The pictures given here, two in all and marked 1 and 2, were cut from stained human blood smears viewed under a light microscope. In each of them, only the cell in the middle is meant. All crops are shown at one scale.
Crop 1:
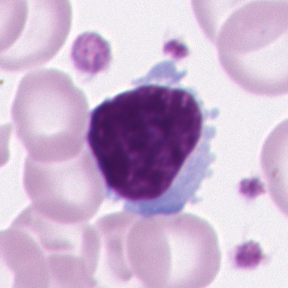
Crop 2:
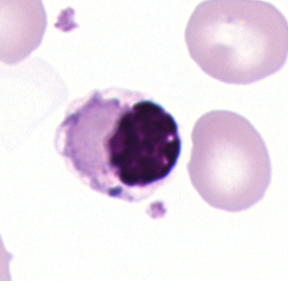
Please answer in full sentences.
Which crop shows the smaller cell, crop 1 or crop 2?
Crop 2 holds the smaller cell, since the cell in crop 1 covers about 1.5 times as much area.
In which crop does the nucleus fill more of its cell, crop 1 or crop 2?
In crop 1 the nucleus takes up the larger part of its cell.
